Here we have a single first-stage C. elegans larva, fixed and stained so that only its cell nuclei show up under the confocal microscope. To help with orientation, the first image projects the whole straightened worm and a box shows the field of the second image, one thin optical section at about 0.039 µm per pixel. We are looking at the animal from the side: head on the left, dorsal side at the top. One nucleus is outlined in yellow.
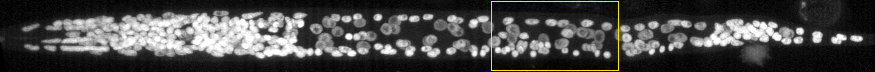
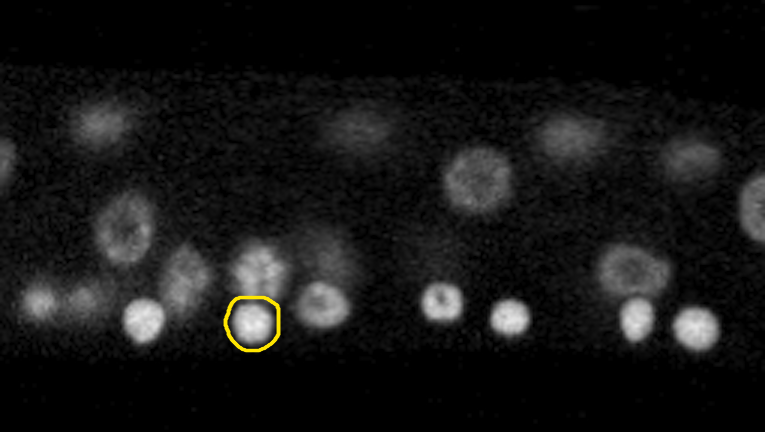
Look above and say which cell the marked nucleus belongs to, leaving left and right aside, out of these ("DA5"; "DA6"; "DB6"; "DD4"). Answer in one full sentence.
It belongs to DA5, a neuron.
